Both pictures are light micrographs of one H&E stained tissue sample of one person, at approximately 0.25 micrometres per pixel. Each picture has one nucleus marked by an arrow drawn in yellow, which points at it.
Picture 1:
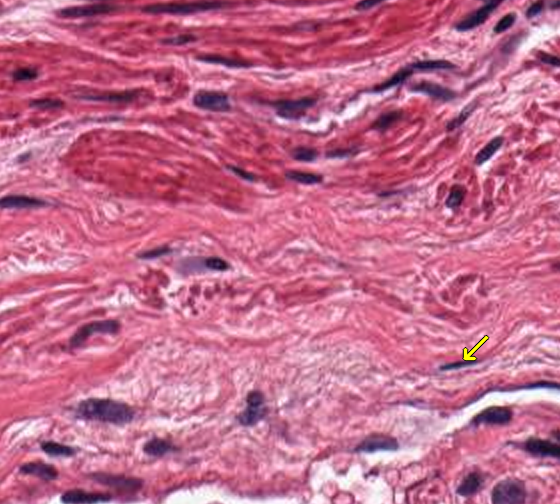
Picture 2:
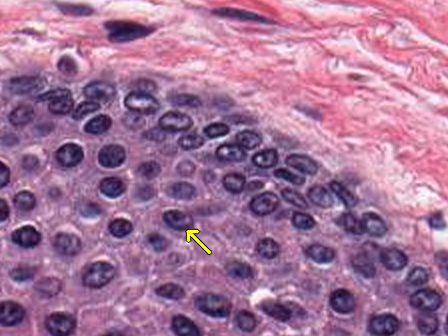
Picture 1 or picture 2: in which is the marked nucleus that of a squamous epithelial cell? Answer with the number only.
2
